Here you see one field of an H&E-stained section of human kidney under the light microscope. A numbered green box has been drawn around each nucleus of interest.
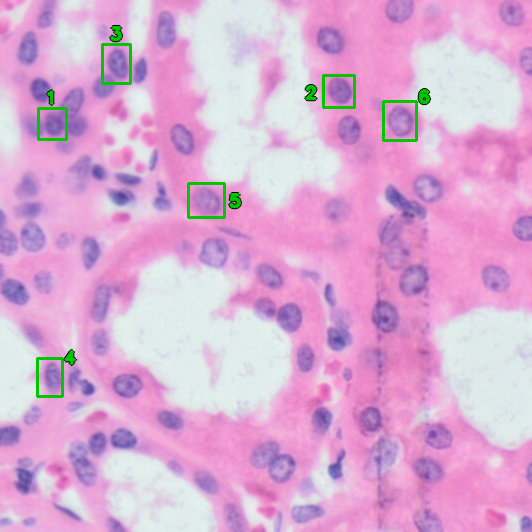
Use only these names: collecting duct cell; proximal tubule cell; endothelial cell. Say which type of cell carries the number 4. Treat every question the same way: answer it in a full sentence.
Cell 4 in the field is a collecting duct cell.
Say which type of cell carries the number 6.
The cell that carries the label 6 is a proximal tubule cell.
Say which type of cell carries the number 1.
Here the cell numbered 1 is a collecting duct cell.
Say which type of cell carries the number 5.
The cell that bears the number 5 is a proximal tubule cell.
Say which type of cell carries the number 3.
The cell marked with the number 3 is a collecting duct cell.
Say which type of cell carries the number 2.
The one numbered 2 among the marked cells is a proximal tubule cell.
